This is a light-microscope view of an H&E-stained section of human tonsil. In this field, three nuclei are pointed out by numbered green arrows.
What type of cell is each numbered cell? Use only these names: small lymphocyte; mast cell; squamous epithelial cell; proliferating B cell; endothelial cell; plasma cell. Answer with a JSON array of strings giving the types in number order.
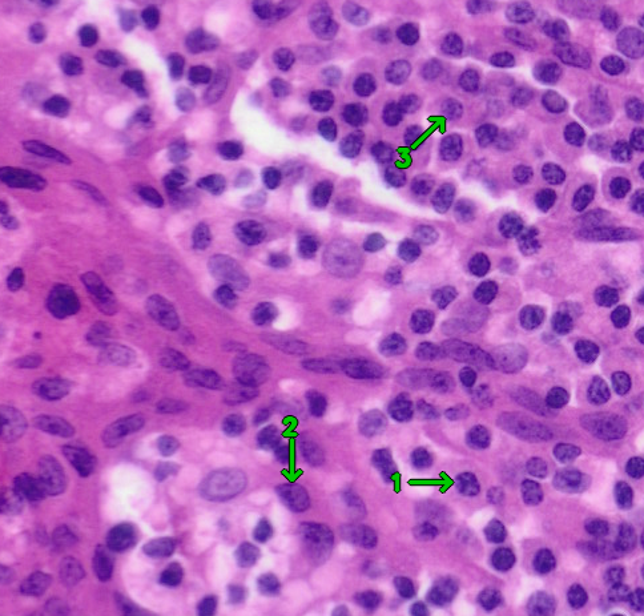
["plasma cell", "squamous epithelial cell", "plasma cell"]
